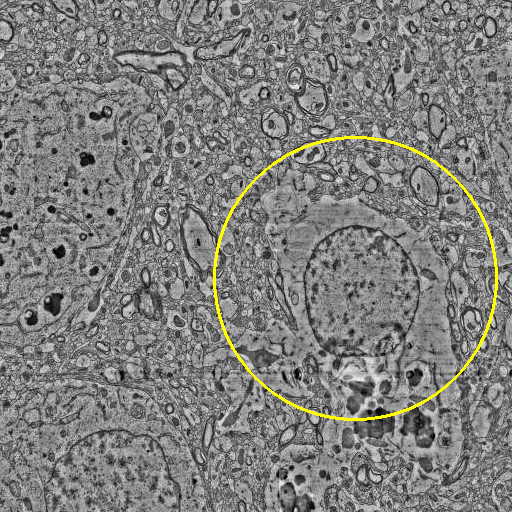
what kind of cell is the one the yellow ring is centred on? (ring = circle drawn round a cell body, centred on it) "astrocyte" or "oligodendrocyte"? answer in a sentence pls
The ring is drawn around an astrocyte.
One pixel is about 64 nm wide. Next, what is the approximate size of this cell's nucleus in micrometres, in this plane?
In this plane, the nucleus of the cell at the centre of the ring is about 8 micrometres across.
